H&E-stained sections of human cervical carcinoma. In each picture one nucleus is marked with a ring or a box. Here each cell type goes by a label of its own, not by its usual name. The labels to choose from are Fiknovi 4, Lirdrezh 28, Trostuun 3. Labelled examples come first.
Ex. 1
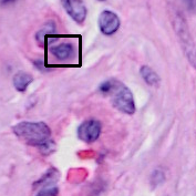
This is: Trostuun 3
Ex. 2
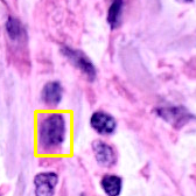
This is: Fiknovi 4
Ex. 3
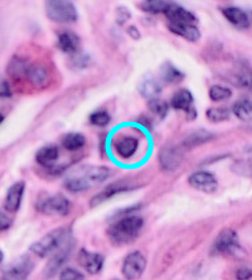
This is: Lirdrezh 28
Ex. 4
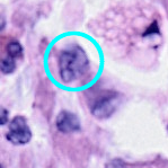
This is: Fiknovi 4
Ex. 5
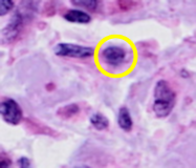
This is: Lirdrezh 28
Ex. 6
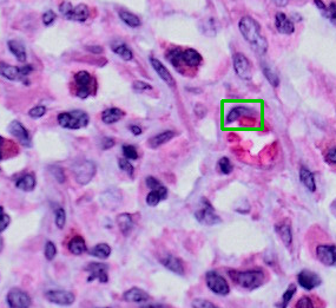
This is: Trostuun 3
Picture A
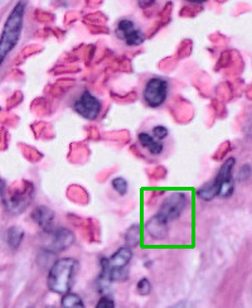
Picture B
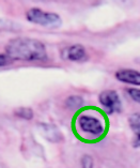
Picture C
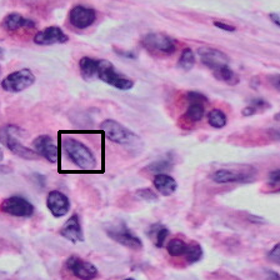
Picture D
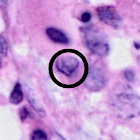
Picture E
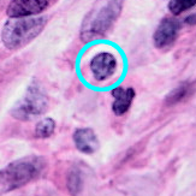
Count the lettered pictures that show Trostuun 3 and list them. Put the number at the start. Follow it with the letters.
2: A, C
